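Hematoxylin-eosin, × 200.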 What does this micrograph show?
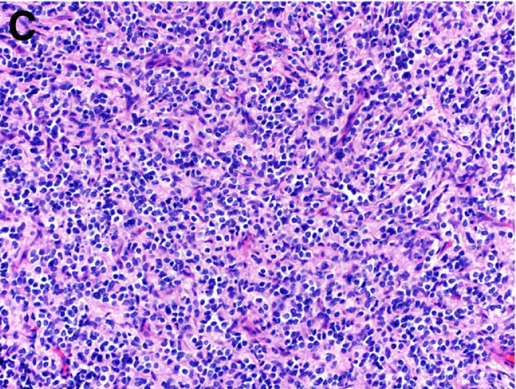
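A tumor made of densely packed small cells forms sheets across the field. The cells have round to oval dark nuclei and very little cytoplasm, and thin pink fibrous strands run between groups of them.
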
